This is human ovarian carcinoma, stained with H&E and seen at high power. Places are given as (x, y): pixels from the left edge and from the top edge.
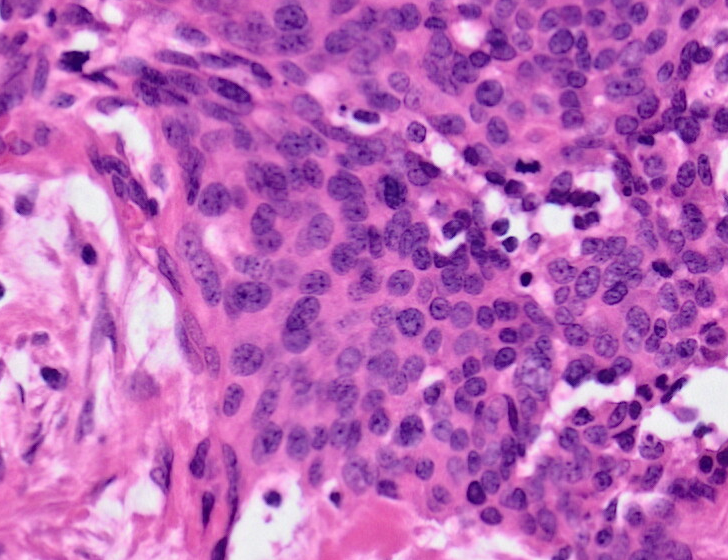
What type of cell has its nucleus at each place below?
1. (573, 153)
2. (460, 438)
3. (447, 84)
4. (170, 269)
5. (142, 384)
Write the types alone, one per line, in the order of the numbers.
carcinoma cell
carcinoma cell
carcinoma cell
endothelial cell
fibroblast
